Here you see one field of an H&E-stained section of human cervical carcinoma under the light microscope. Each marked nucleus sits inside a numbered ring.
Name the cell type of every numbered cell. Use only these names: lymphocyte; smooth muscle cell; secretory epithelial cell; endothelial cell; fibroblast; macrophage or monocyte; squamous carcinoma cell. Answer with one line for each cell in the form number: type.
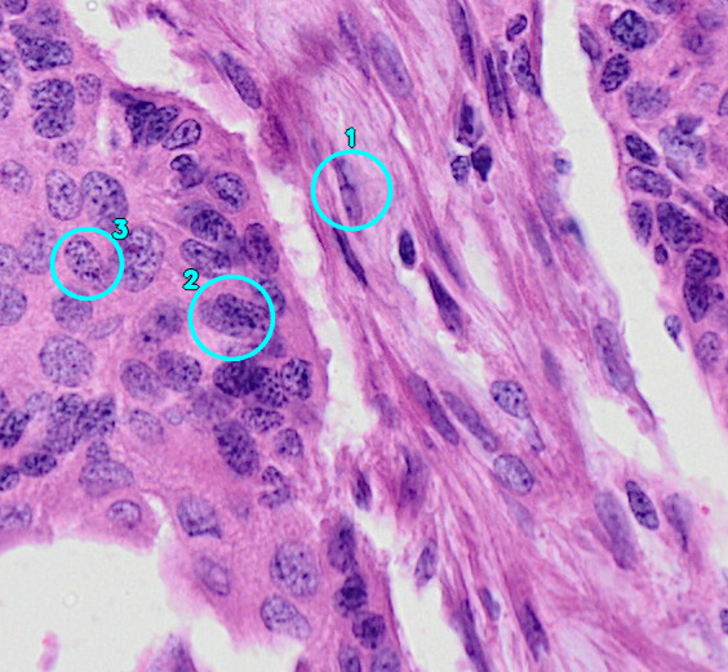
1: fibroblast
2: squamous carcinoma cell
3: squamous carcinoma cell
